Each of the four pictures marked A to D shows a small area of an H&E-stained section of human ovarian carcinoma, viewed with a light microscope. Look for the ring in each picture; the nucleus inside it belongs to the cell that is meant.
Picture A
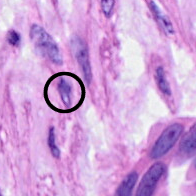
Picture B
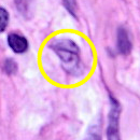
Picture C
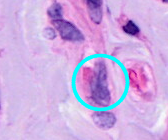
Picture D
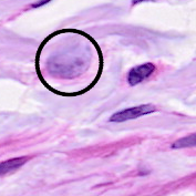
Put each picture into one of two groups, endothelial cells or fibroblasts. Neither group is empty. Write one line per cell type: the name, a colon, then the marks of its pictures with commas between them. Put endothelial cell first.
endothelial cell: C
fibroblast: A, B, D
